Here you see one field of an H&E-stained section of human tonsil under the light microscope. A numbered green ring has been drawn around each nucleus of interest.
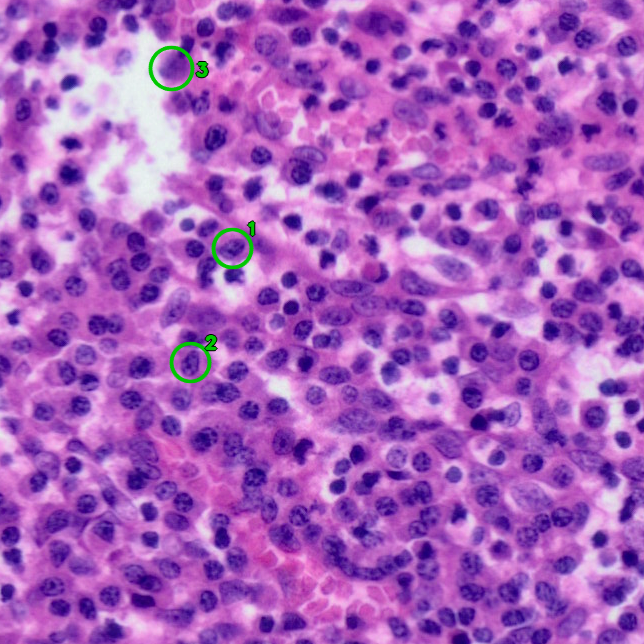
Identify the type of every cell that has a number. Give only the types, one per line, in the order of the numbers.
plasma cell
plasma cell
squamous epithelial cell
